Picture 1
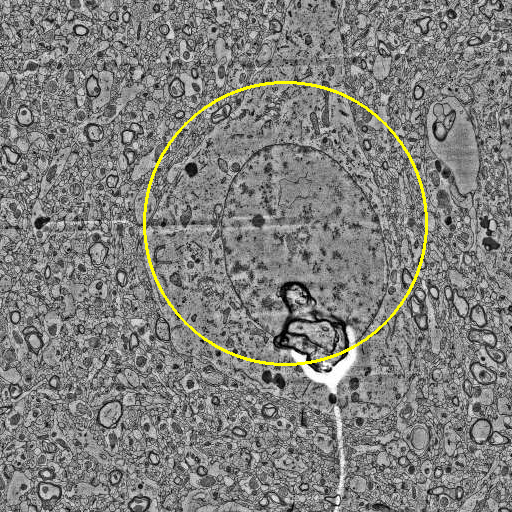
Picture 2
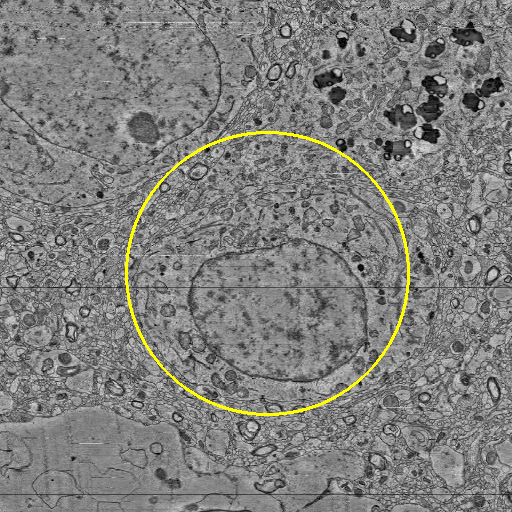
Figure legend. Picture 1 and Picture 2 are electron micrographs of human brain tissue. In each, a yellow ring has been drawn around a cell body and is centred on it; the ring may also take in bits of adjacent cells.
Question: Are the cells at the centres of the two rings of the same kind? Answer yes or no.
no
